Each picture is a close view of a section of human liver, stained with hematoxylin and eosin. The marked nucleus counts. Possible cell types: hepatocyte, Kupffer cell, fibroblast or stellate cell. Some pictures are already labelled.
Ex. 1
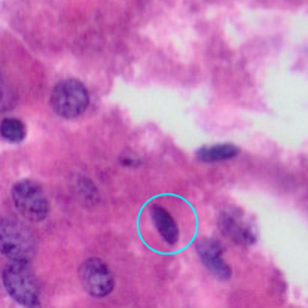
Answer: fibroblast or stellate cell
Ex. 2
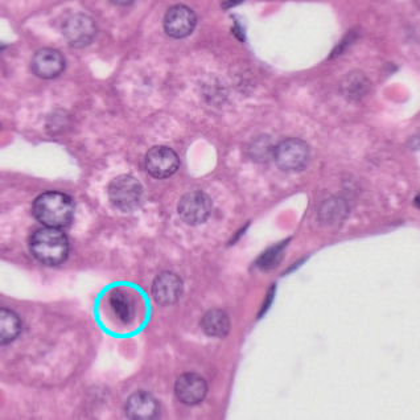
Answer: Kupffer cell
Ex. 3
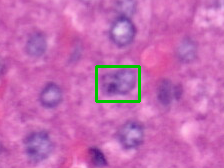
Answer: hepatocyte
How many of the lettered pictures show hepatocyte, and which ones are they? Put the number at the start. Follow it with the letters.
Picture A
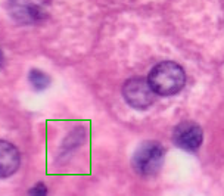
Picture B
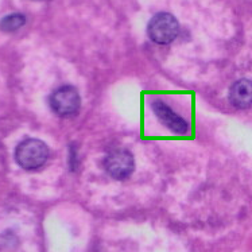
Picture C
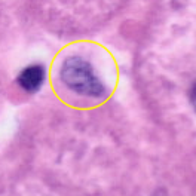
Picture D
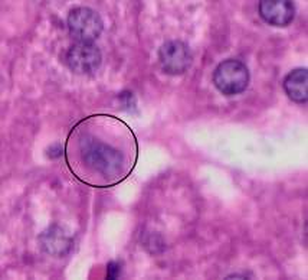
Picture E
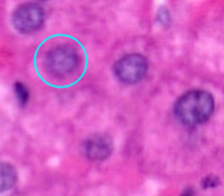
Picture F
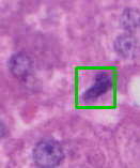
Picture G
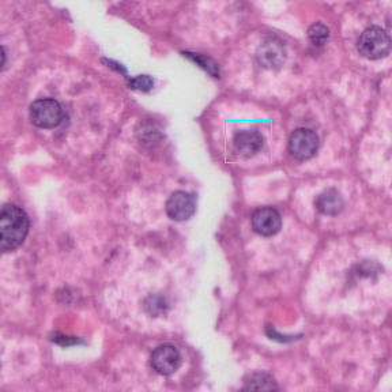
2: E, G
